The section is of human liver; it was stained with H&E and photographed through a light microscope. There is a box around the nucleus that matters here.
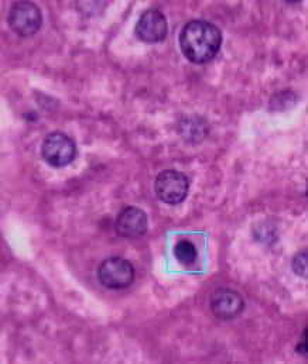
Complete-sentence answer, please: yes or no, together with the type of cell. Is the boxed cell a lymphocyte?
Yes, the boxed cell counts as a lymphocyte in this tissue.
